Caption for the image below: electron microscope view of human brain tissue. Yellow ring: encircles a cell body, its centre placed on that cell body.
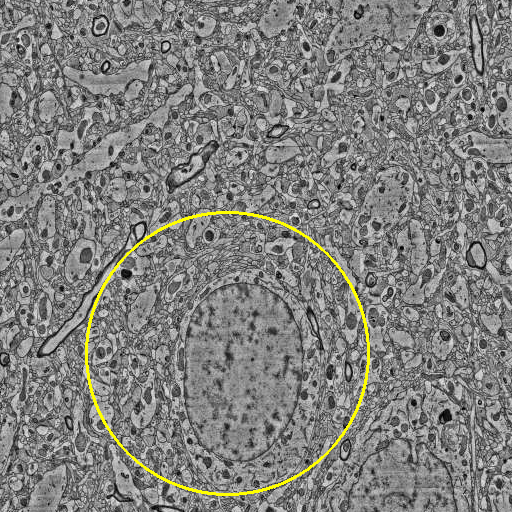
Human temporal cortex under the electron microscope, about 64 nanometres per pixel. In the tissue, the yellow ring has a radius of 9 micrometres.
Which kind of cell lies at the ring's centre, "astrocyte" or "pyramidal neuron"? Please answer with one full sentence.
The picture shows a pyramidal neuron at the centre of the yellow ring.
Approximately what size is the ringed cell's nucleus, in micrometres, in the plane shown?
Roughly 12 micrometres by 8 micrometres, in this plane.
